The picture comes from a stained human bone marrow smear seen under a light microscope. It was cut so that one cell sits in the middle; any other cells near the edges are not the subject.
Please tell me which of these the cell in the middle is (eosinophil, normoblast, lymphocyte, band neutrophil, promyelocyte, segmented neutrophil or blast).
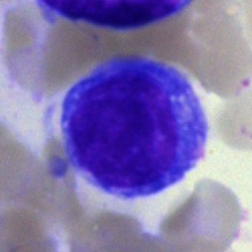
blast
